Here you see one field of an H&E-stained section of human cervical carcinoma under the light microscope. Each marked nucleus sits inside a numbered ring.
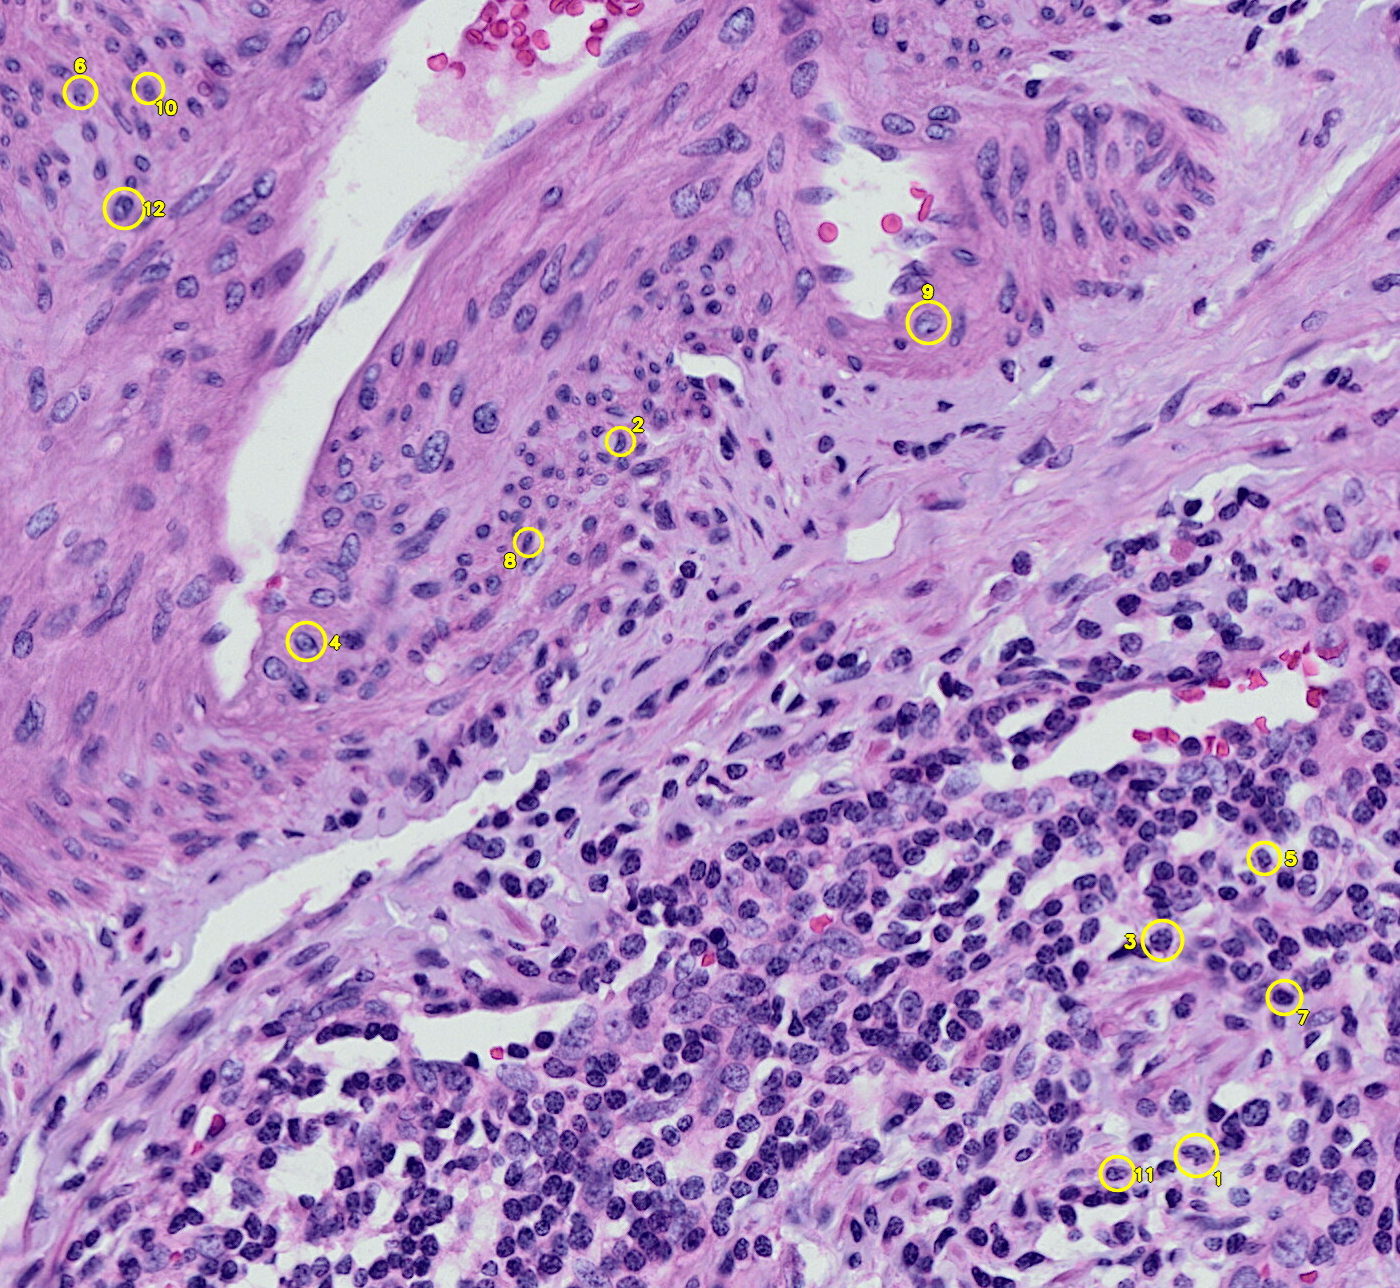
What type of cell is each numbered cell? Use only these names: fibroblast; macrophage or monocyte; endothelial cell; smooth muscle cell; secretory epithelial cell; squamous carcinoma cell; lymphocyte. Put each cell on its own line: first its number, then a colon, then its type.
1: lymphocyte
2: smooth muscle cell
3: lymphocyte
4: smooth muscle cell
5: lymphocyte
6: smooth muscle cell
7: lymphocyte
8: smooth muscle cell
9: smooth muscle cell
10: smooth muscle cell
11: lymphocyte
12: smooth muscle cell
